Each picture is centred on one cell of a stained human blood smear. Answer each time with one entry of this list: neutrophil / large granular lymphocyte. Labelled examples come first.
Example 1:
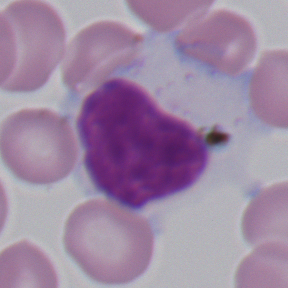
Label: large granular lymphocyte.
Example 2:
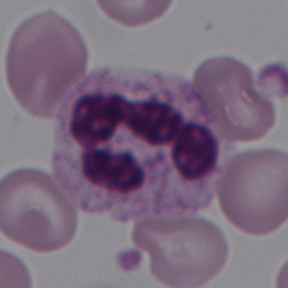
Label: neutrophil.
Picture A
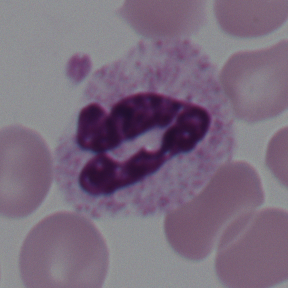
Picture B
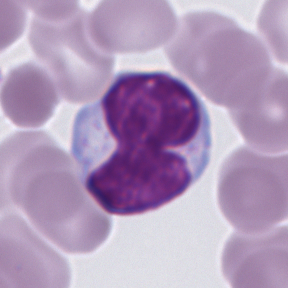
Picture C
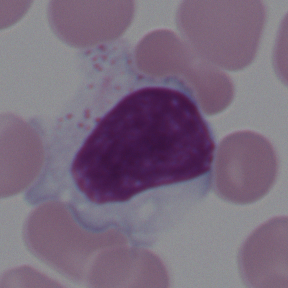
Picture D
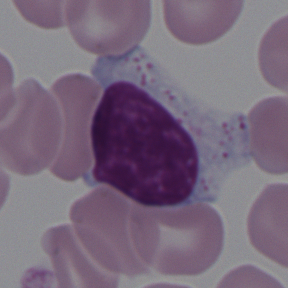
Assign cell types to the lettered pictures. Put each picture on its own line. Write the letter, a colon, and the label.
A: neutrophil.
B: large granular lymphocyte.
C: large granular lymphocyte.
D: large granular lymphocyte.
